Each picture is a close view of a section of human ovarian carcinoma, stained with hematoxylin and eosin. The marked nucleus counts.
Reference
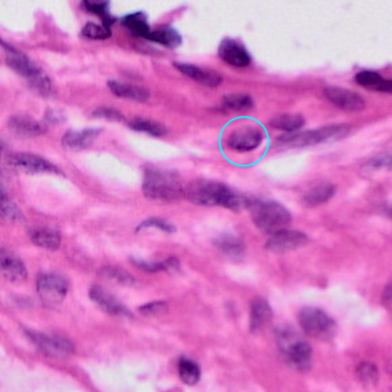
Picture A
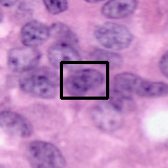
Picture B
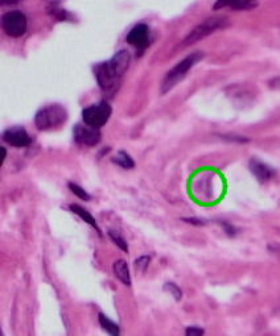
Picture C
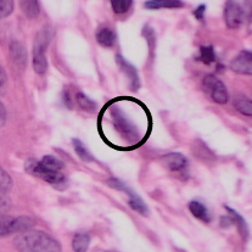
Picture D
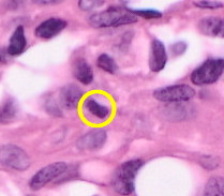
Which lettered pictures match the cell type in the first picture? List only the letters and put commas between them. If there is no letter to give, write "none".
B, C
